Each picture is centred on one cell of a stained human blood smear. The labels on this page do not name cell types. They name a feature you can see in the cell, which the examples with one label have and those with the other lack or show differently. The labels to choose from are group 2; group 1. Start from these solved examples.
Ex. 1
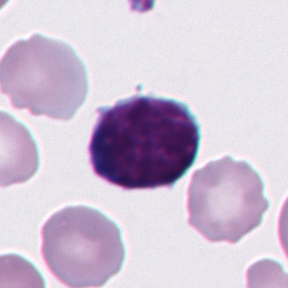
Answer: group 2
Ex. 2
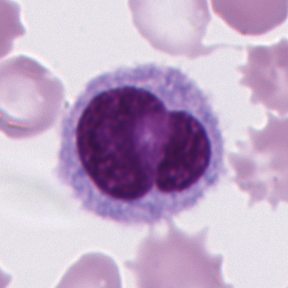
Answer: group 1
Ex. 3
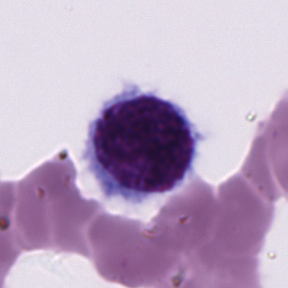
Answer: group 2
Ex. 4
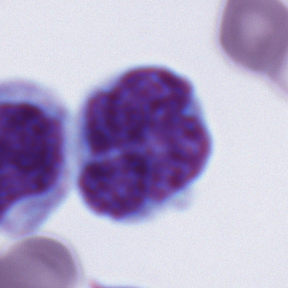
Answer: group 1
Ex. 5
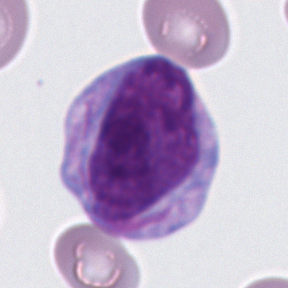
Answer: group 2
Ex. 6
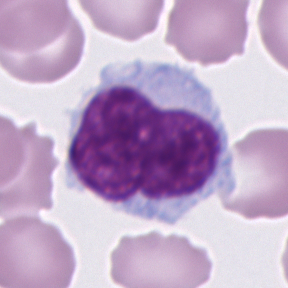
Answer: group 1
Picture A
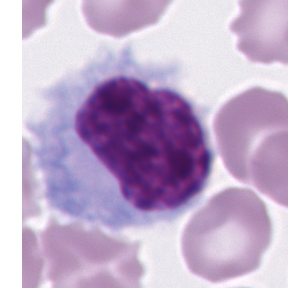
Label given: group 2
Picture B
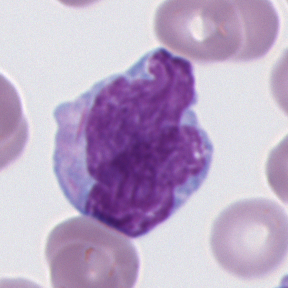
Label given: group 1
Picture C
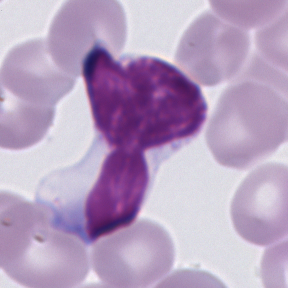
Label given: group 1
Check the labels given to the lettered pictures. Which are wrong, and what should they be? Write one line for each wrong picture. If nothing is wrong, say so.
None of the labels needs changing.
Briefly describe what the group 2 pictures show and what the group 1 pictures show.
Seen in group 2: single compact nucleus; seen in group 1: lobed nucleus.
